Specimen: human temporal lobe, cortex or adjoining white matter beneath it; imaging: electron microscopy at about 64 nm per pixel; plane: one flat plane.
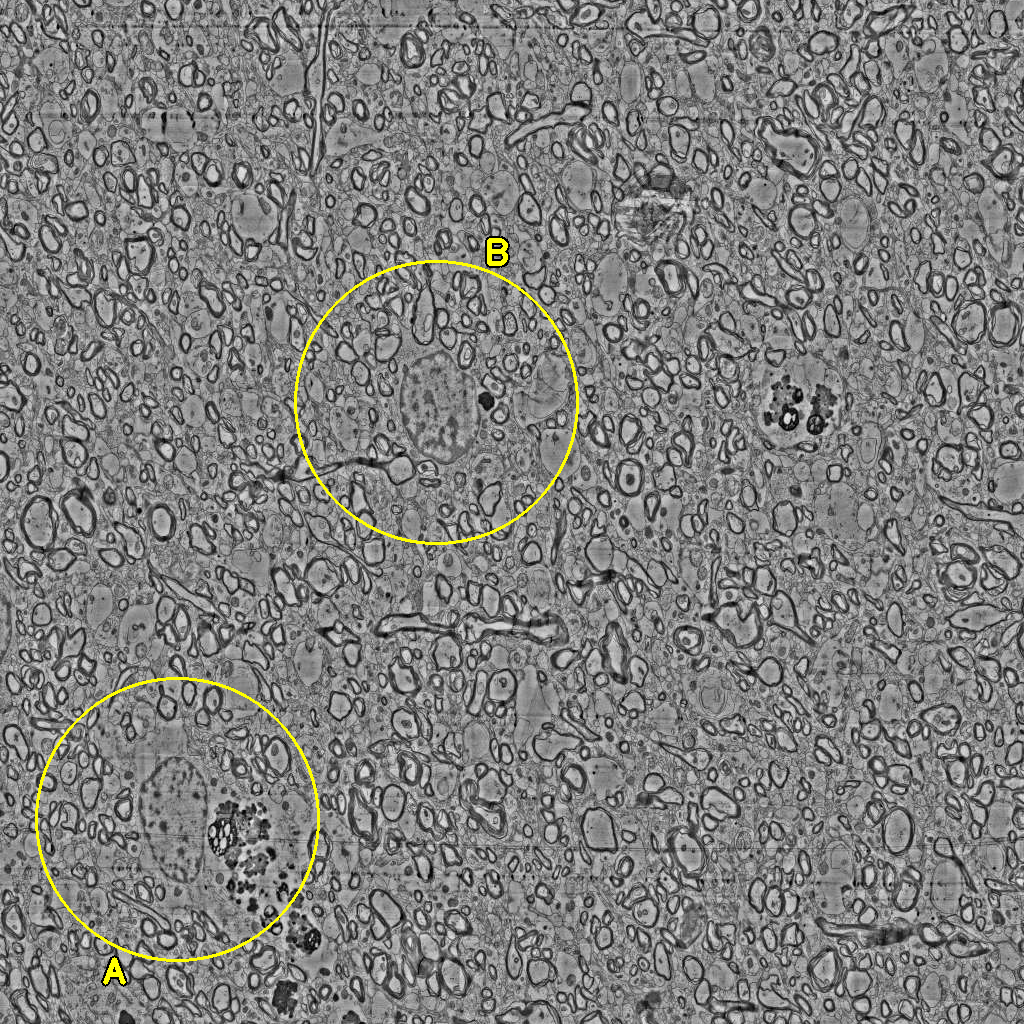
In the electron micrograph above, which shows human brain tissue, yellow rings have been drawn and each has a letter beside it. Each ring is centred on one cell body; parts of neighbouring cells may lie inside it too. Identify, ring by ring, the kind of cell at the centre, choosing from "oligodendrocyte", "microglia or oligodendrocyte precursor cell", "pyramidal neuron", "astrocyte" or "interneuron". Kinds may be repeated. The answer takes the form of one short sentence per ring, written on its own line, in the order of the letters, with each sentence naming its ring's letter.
Inside ring A, at its centre, is an astrocyte.
Inside ring B, at its centre, is an oligodendrocyte.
